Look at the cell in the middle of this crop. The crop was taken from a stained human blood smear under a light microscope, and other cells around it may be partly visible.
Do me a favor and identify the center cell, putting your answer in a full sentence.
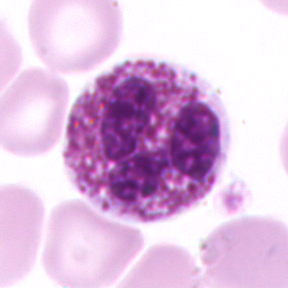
In the centre of this crop there is an eosinophil.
